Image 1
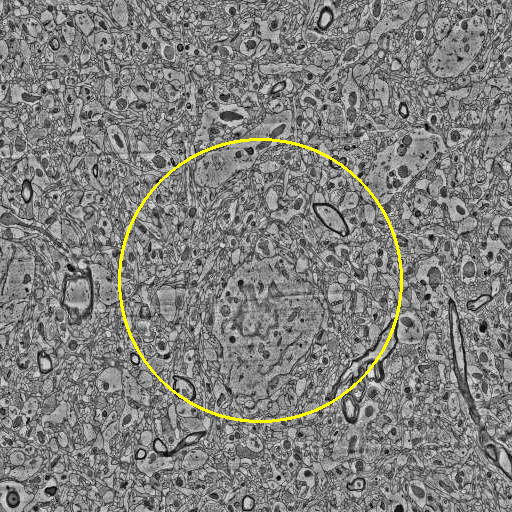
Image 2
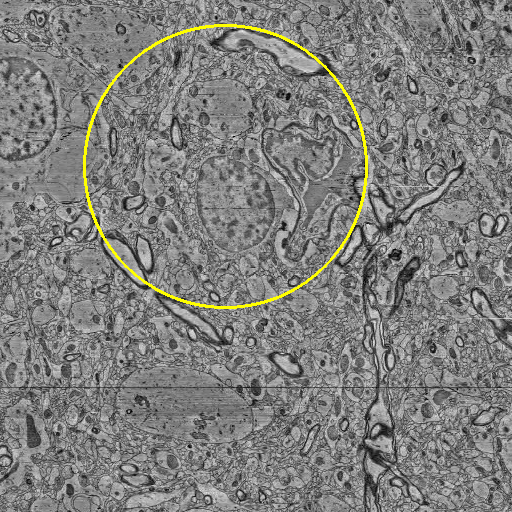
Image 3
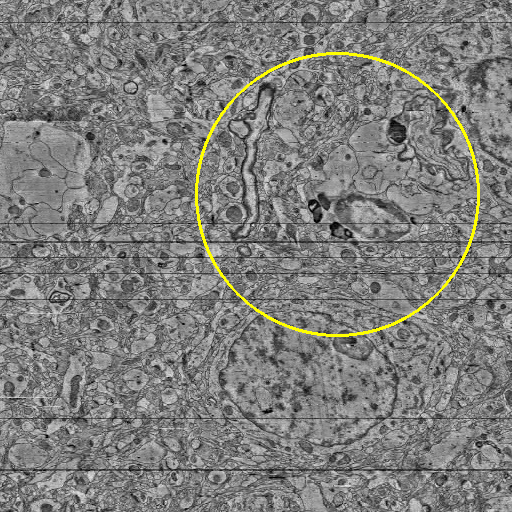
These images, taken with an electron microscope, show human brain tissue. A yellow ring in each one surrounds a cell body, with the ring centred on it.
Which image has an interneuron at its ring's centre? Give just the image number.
1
